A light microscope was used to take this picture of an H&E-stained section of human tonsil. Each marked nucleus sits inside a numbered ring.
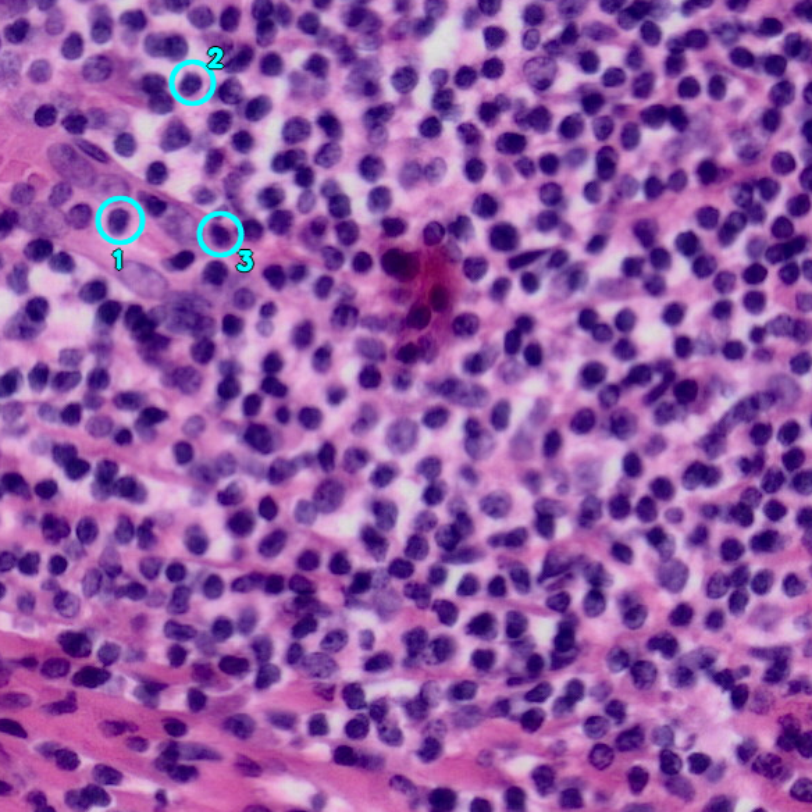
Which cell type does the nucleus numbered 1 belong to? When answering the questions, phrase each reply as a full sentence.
Classified as an endothelial cell is the cell with the number 1.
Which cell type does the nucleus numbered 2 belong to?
Cell 2 in the field of view is a small lymphocyte.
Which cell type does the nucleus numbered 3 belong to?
The cell indicated with the number 3 is classed as an endothelial cell.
